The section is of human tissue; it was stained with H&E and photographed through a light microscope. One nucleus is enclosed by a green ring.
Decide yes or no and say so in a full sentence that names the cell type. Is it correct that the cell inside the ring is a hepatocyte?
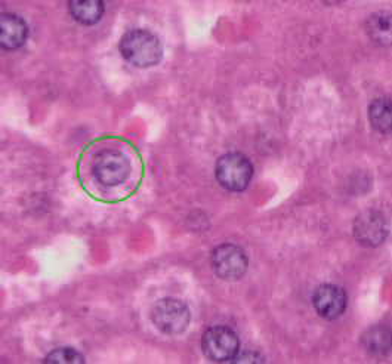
Yes, in short, the cell inside the ring is a hepatocyte here.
